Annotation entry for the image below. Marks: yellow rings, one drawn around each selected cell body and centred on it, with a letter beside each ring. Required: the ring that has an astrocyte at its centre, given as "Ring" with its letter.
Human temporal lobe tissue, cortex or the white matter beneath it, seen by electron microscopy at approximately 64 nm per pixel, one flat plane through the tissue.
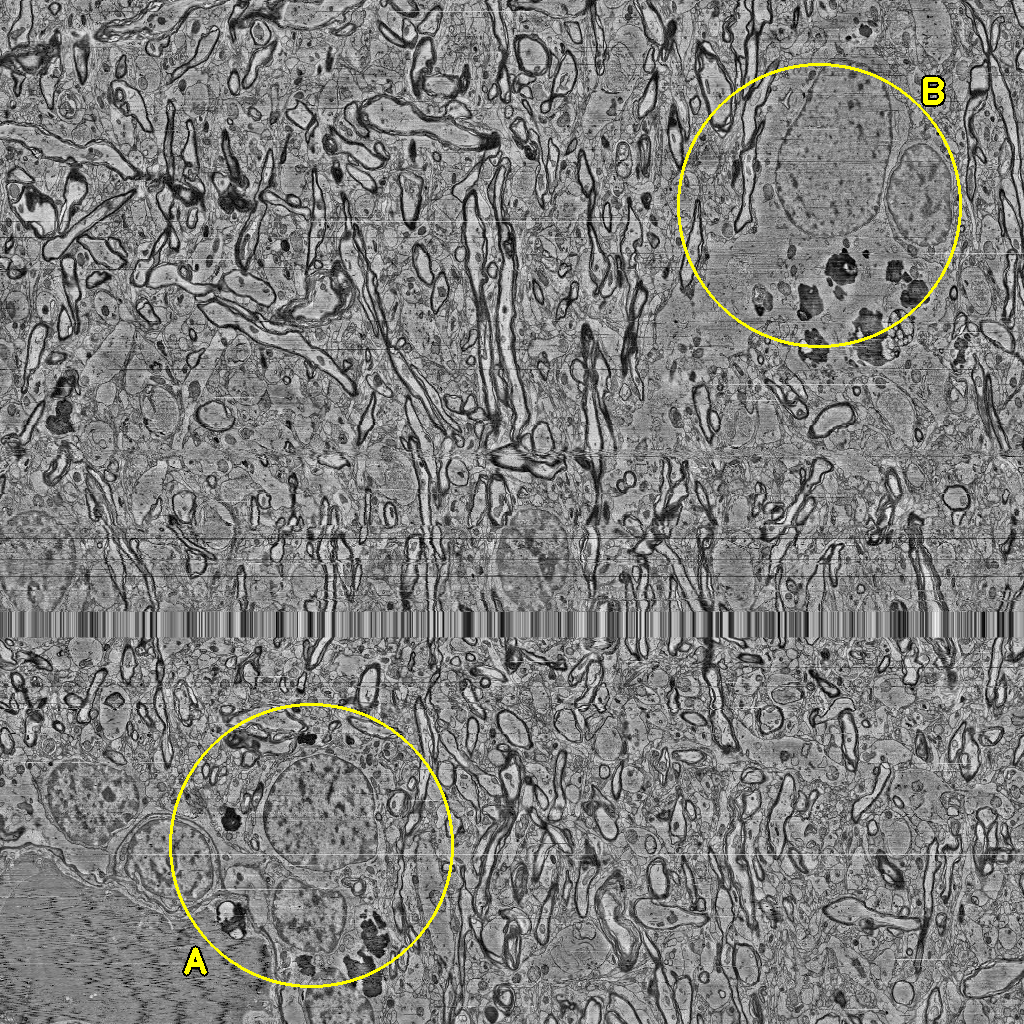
Ring B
